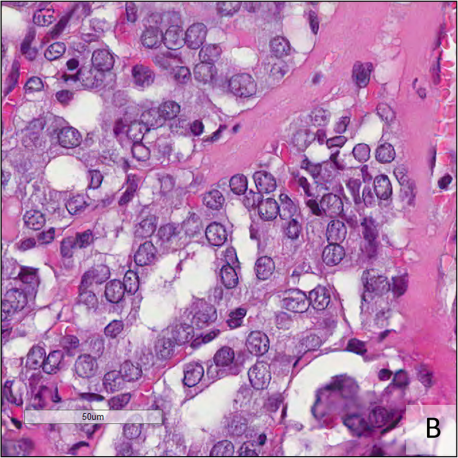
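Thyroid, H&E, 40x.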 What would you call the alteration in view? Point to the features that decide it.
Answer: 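Membrane irregularities. Nuclei are enlarged and crowded, some overlapping. Chromatin is pale and finely dispersed.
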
